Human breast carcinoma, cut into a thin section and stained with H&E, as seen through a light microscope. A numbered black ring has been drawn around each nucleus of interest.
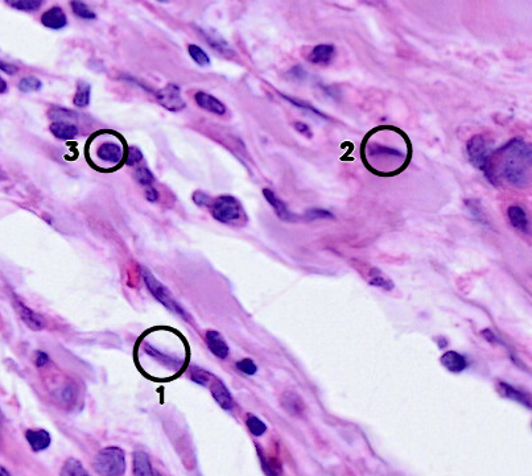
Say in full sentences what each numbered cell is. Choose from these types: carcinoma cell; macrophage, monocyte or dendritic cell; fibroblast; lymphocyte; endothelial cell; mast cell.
Cells 1 and 2 are fibroblasts. Cell 3 is a lymphocyte.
